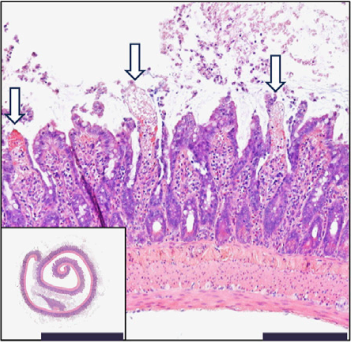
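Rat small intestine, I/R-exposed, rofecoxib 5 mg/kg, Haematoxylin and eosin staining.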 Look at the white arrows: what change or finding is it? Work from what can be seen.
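Denuded villi. Red blood cells are visible at some exposed tips. Detached debris lies in the lumen.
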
